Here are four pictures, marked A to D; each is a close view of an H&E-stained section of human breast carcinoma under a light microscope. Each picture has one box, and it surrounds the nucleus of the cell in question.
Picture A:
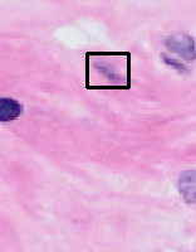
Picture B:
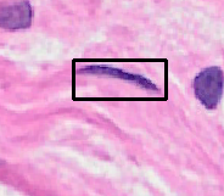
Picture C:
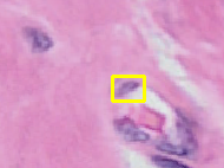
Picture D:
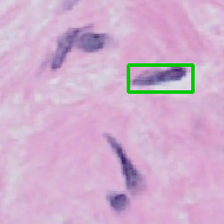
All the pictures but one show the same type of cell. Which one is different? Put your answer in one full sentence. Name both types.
Picture C differs, because its cell is an endothelial cell and the rest are fibroblasts.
